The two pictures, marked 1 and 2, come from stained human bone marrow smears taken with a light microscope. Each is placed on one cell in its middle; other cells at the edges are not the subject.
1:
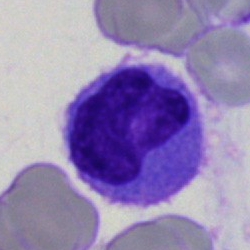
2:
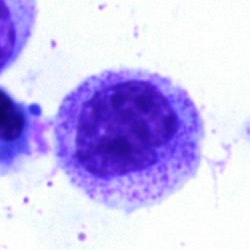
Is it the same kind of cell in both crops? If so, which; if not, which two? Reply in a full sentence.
No, crop 1 is home to a monocyte, and crop 2 to a myelocyte.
